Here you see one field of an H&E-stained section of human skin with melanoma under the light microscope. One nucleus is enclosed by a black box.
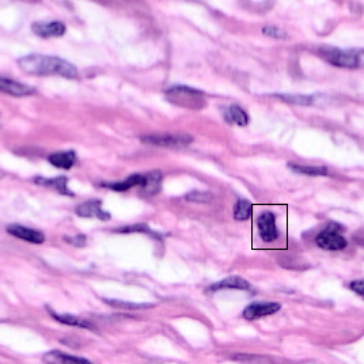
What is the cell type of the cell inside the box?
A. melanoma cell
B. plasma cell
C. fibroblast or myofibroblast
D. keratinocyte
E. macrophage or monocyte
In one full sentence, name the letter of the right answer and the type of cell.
Option B is the one that fits, as the cell inside the box is a plasma cell.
